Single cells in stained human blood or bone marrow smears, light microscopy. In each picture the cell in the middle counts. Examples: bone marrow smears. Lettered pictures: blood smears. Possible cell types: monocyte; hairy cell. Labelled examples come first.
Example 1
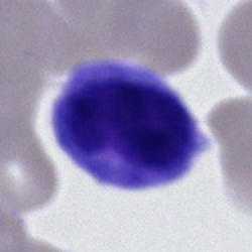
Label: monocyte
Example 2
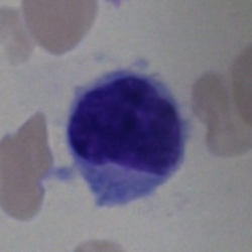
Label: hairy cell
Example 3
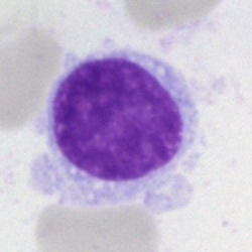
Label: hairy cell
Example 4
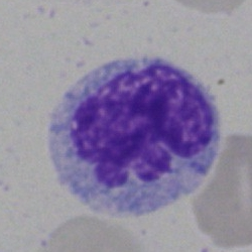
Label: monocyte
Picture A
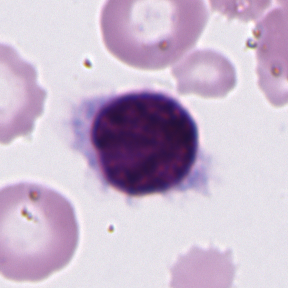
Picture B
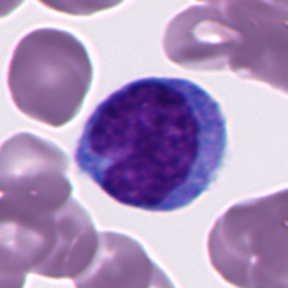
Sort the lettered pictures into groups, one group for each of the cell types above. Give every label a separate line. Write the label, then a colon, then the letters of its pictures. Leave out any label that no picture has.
monocyte: B
hairy cell: A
